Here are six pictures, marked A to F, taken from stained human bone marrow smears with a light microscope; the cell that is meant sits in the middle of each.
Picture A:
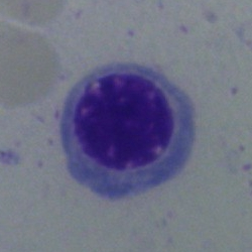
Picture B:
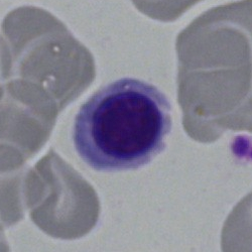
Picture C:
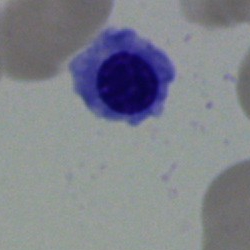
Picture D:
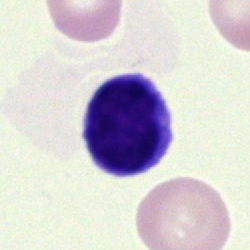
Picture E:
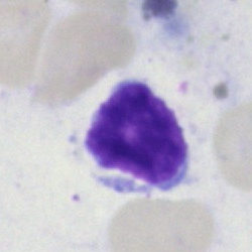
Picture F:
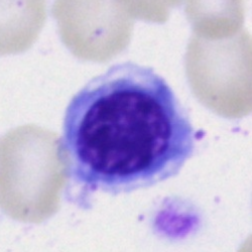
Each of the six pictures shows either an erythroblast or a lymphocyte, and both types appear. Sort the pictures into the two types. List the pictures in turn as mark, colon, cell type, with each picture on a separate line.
A: erythroblast
B: erythroblast
C: erythroblast
D: lymphocyte
E: lymphocyte
F: erythroblast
